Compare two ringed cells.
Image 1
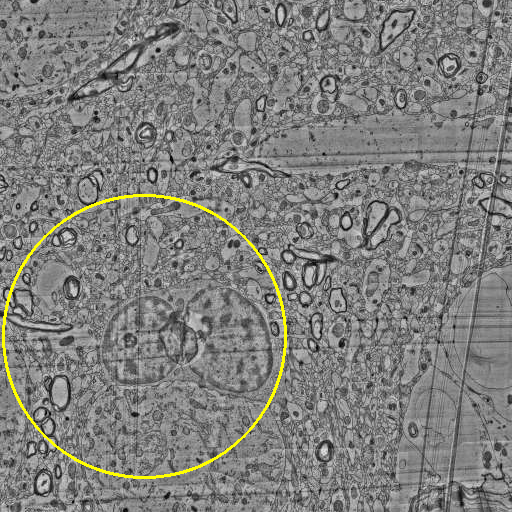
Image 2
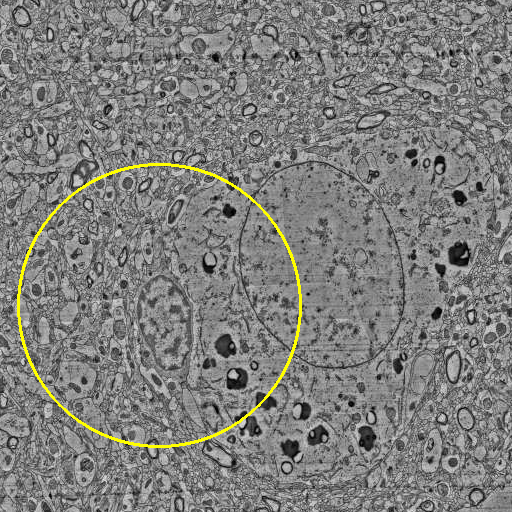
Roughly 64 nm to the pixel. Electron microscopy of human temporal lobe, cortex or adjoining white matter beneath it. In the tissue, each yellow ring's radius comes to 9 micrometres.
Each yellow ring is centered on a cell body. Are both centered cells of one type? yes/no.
yes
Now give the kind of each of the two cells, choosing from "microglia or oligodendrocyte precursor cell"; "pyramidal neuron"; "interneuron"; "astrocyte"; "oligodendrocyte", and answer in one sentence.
Both pictures show an oligodendrocyte at the centre of the ring.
